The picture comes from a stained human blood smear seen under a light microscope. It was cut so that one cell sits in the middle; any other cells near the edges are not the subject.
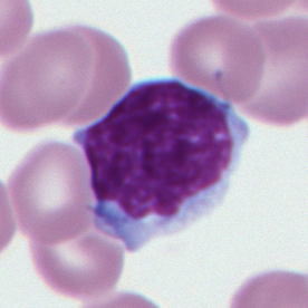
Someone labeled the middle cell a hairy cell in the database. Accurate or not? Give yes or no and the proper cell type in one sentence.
No, the cell at the centre is categorised not as a hairy cell but as a typical lymphocyte.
